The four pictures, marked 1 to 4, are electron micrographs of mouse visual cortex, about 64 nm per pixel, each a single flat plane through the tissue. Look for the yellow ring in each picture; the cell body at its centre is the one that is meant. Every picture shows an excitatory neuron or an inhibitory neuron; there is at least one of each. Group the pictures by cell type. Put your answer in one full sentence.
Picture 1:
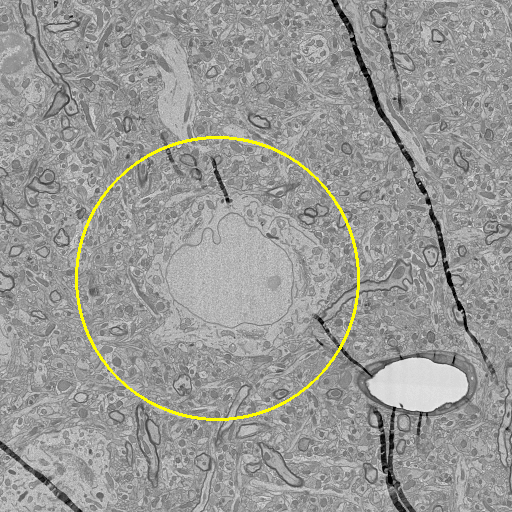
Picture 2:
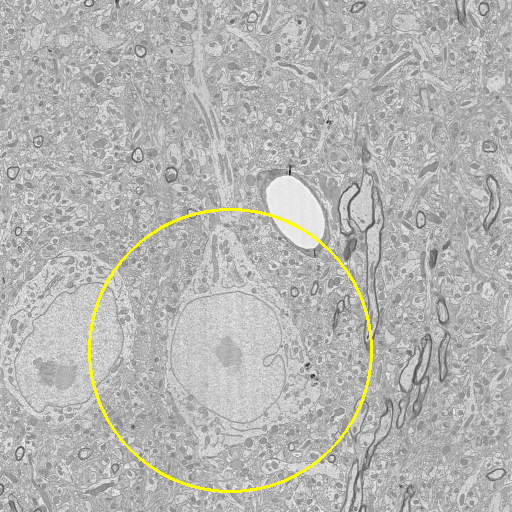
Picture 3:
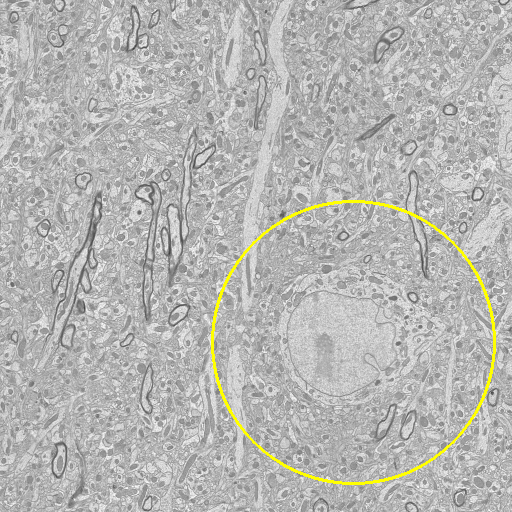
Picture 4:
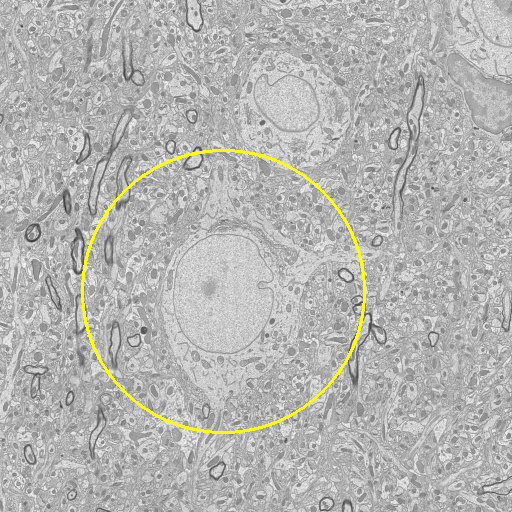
Pictures 1, 2 and 4 show excitatory neurons, and picture 3 shows an inhibitory neuron.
